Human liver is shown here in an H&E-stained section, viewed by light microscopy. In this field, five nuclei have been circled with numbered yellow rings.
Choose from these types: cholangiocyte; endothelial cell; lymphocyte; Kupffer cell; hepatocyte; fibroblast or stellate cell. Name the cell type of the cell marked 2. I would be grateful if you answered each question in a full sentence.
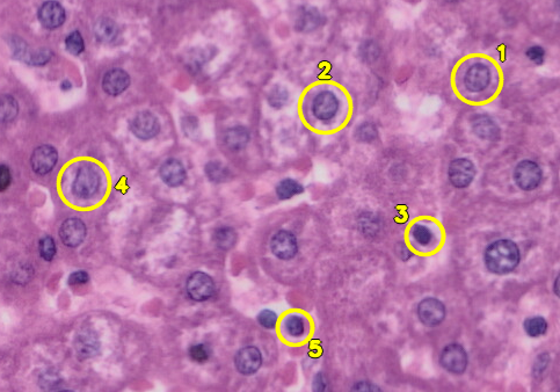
The cell pointed out as number 2 is a hepatocyte.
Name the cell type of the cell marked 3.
Cell number 3 in this section is a lymphocyte.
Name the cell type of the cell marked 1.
The one numbered 1 among the marked cells is a hepatocyte.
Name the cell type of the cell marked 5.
The cell identified by the number 5 is a lymphocyte.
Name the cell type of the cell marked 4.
Identified as a hepatocyte is the cell bearing the number 4.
